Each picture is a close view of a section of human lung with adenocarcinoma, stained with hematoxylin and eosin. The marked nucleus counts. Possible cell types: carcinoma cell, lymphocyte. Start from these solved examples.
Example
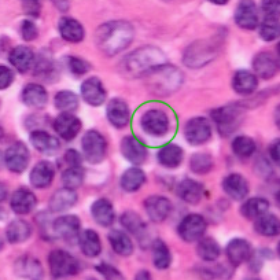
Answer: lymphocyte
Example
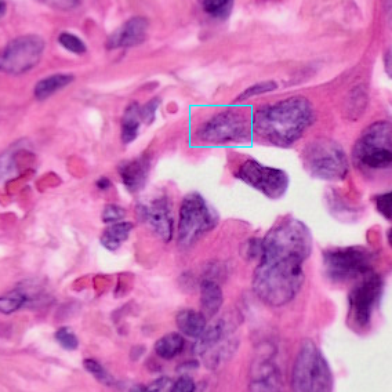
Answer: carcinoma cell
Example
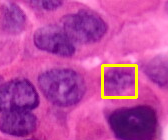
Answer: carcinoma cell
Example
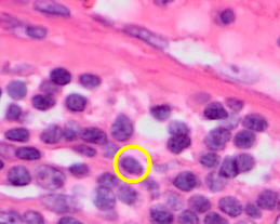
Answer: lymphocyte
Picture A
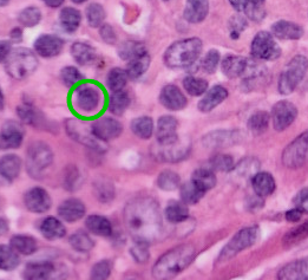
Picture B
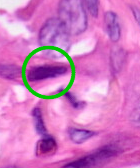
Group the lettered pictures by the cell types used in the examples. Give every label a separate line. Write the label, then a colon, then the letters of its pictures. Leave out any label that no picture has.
carcinoma cell: B
lymphocyte: A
